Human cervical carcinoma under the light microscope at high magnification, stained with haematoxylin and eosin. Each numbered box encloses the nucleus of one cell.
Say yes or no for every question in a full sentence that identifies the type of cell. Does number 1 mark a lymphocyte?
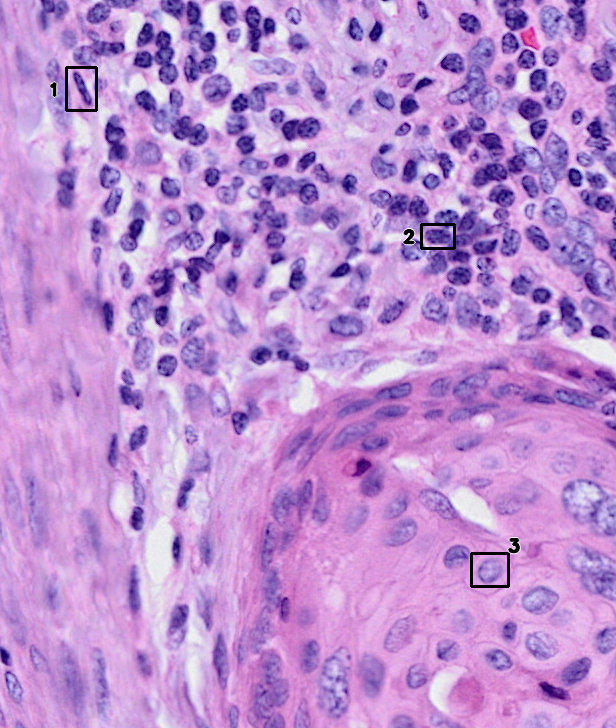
Yes, that is correct: the cell numbered 1 is a lymphocyte.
